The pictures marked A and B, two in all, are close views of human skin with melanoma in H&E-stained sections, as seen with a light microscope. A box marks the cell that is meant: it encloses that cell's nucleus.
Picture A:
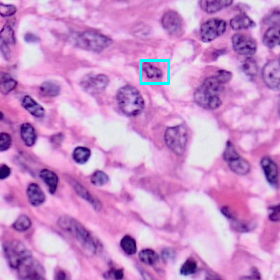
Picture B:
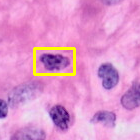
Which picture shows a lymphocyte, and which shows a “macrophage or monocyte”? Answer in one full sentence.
Picture A shows a “macrophage or monocyte” and picture B shows a lymphocyte.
